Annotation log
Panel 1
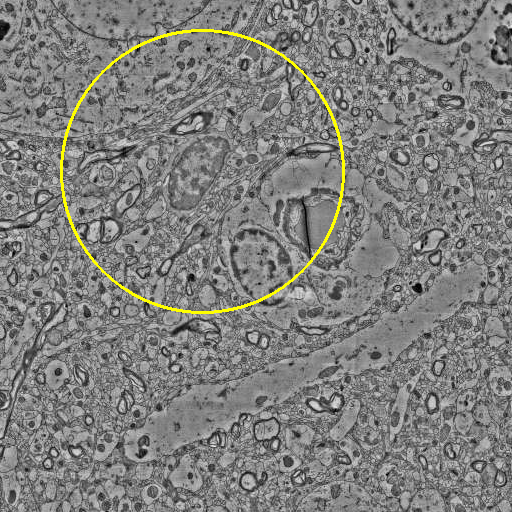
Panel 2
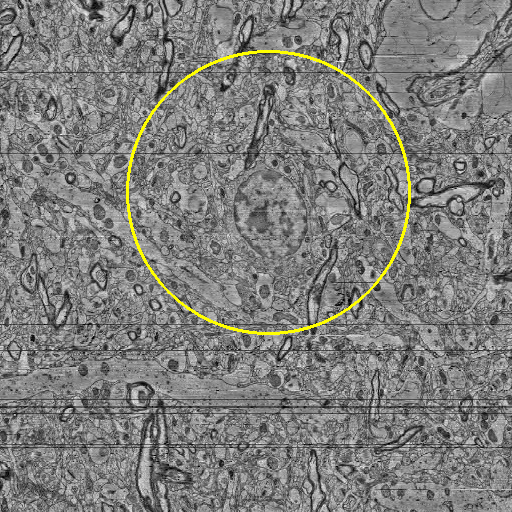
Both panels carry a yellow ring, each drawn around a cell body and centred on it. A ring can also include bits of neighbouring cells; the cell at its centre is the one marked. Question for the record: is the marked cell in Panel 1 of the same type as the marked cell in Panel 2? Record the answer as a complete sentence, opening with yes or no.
Yes, the marked cells in Panel 1 and Panel 2 are of the same type.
